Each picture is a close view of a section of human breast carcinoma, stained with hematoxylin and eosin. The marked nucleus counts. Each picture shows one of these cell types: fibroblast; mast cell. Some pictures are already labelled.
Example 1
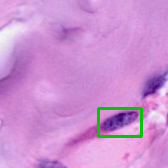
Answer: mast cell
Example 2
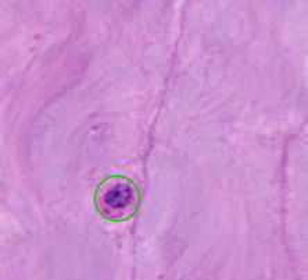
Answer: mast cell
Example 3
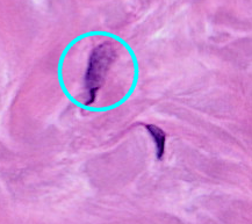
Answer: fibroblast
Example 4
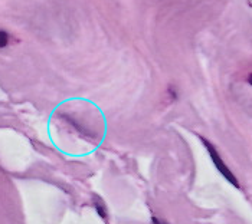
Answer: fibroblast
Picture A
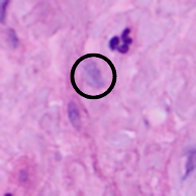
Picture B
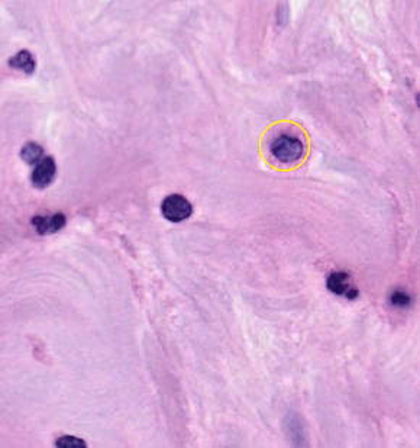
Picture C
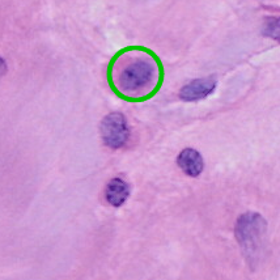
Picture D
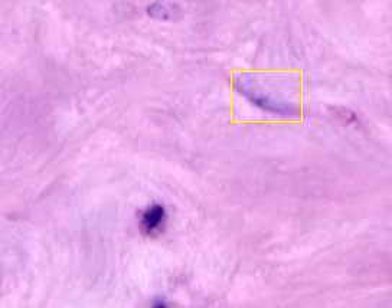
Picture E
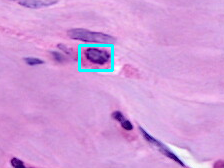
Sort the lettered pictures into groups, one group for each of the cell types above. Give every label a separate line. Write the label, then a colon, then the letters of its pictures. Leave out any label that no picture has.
fibroblast: A, D
mast cell: B, C, E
